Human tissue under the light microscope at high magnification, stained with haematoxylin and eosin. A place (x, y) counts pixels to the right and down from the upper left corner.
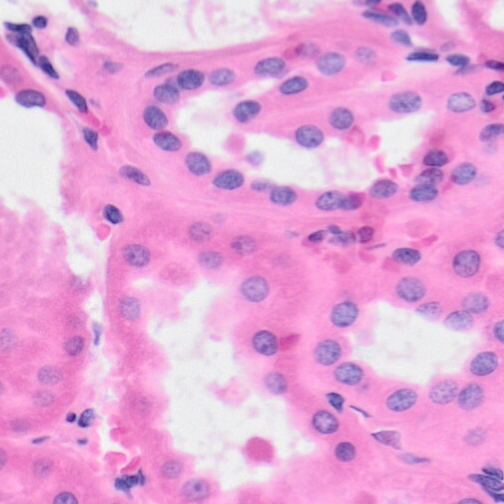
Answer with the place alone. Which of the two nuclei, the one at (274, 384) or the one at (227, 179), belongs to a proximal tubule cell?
(274, 384)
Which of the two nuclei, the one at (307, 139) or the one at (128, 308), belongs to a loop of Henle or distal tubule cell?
(307, 139)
